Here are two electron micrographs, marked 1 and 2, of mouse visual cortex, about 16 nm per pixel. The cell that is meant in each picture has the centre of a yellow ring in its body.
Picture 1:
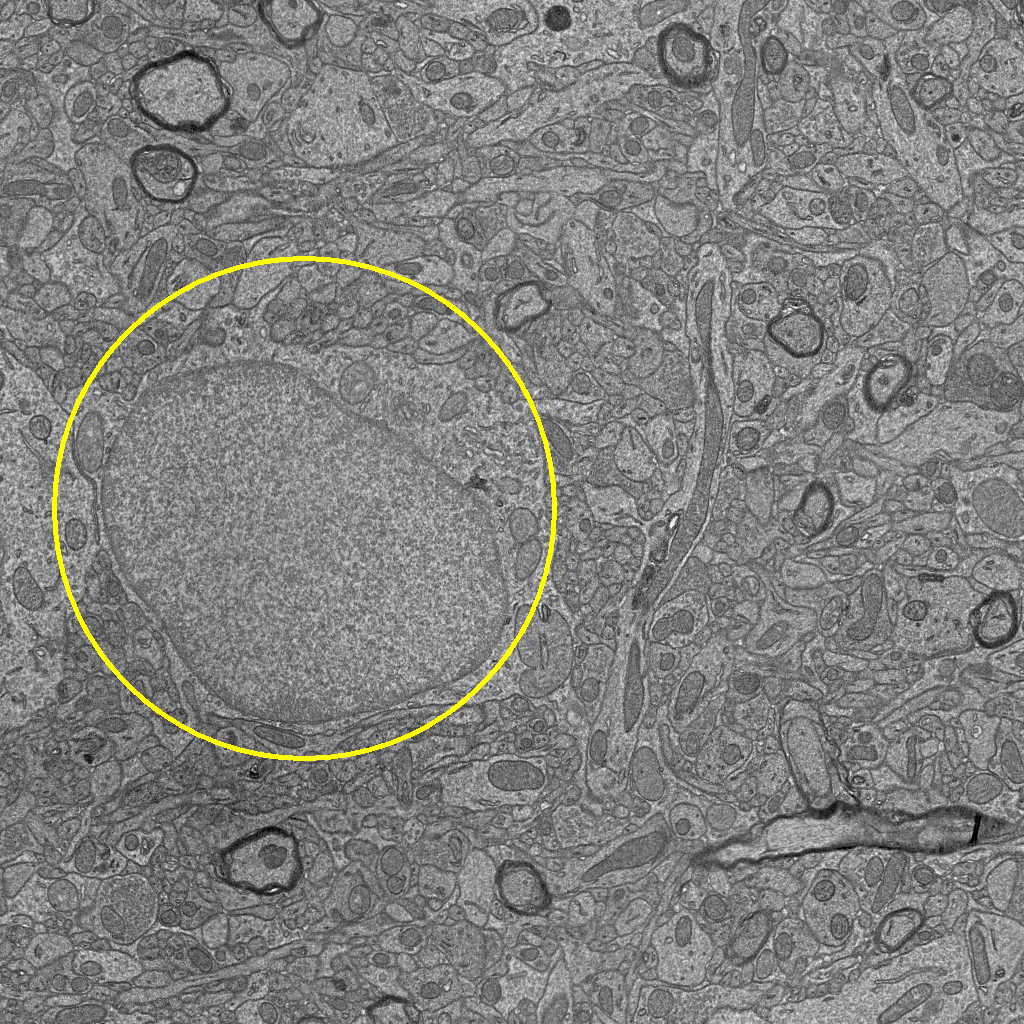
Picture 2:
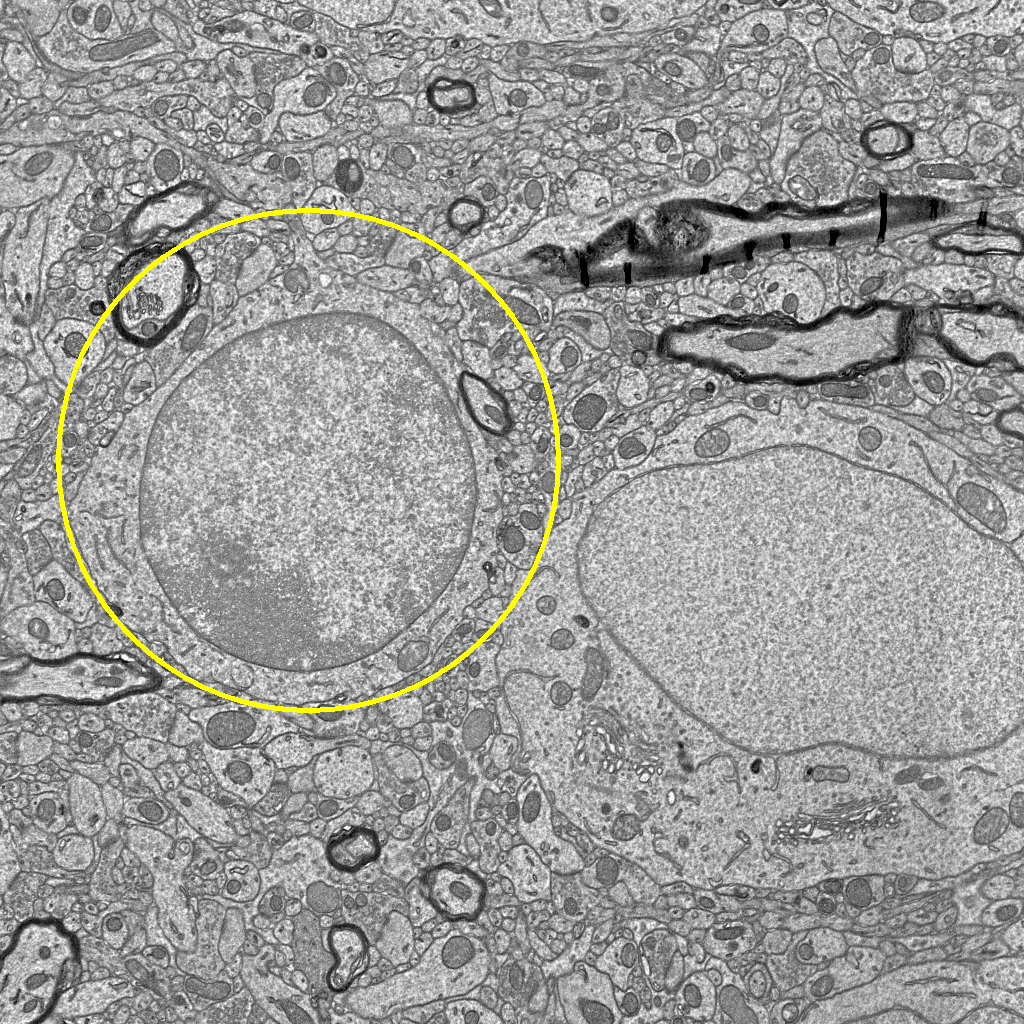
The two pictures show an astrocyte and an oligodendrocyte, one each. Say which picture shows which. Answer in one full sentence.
It is picture 1 that shows an astrocyte, and picture 2 that shows an oligodendrocyte.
